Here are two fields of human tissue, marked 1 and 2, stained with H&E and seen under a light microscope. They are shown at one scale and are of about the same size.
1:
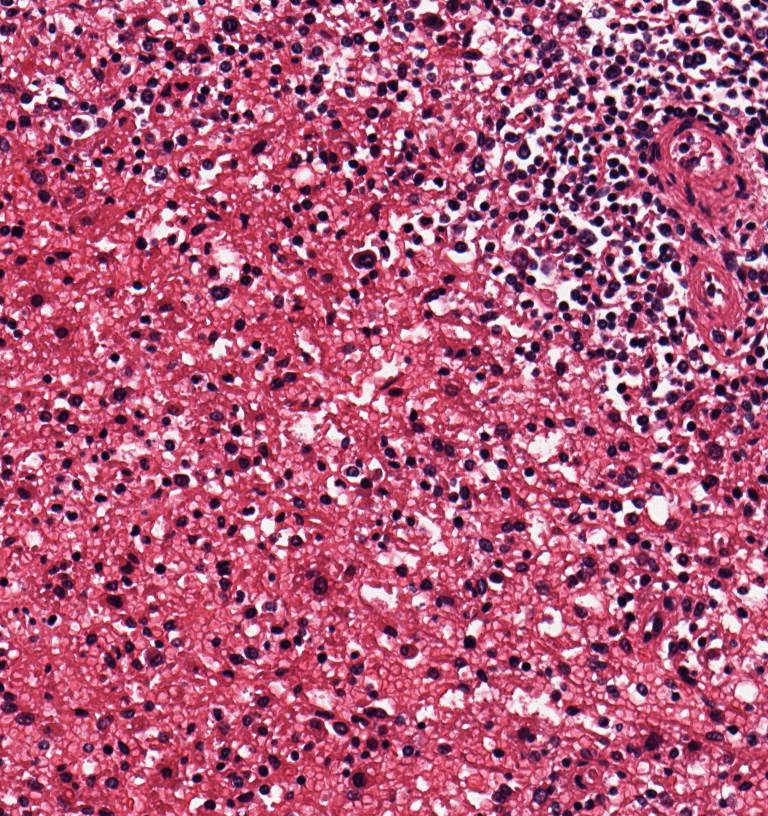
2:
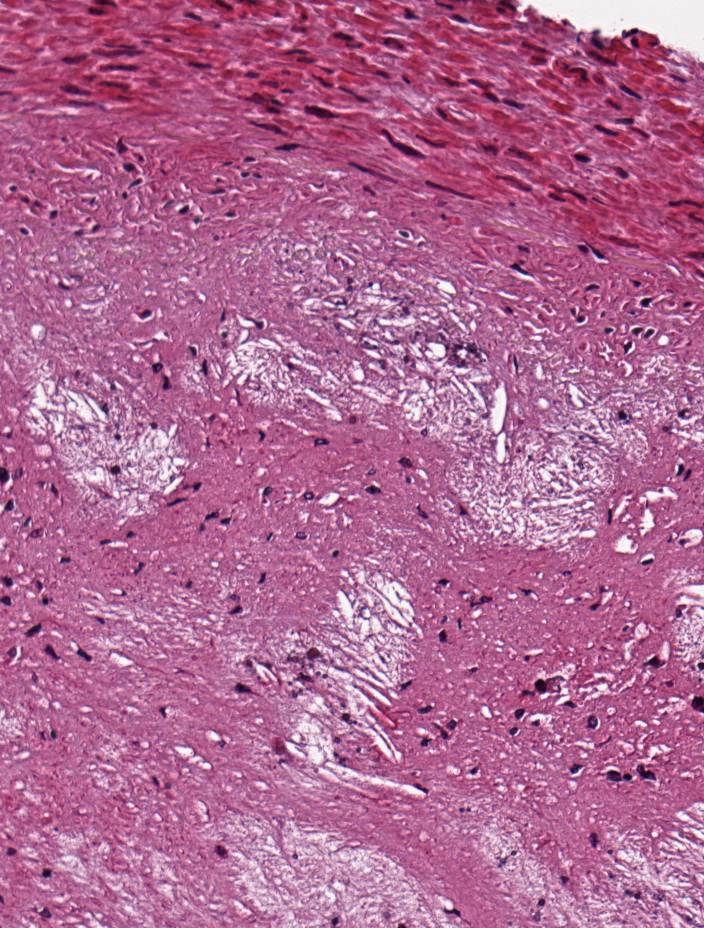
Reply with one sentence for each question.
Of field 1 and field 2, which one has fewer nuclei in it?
There are fewer nuclei in field 2.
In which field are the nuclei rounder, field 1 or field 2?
On the whole the nuclei of field 1 are rounder than those of field 2.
